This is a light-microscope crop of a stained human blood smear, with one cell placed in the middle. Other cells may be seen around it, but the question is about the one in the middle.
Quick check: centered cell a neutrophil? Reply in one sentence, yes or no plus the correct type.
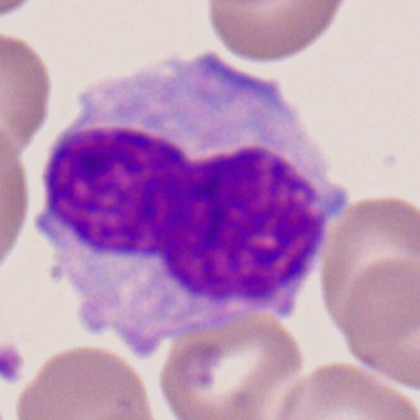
No, the cell in the middle of the crop counts as a monocyte and not as a neutrophil.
